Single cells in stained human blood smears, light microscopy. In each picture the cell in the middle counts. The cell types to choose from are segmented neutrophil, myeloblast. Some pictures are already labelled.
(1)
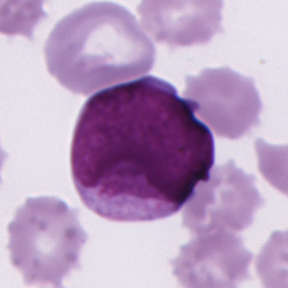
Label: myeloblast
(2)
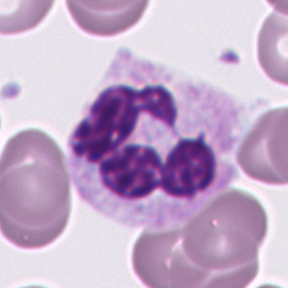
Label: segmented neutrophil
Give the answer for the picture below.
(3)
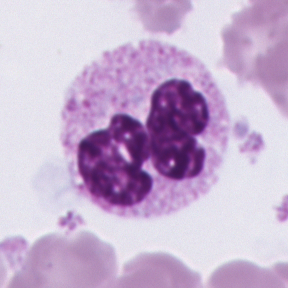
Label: segmented neutrophil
